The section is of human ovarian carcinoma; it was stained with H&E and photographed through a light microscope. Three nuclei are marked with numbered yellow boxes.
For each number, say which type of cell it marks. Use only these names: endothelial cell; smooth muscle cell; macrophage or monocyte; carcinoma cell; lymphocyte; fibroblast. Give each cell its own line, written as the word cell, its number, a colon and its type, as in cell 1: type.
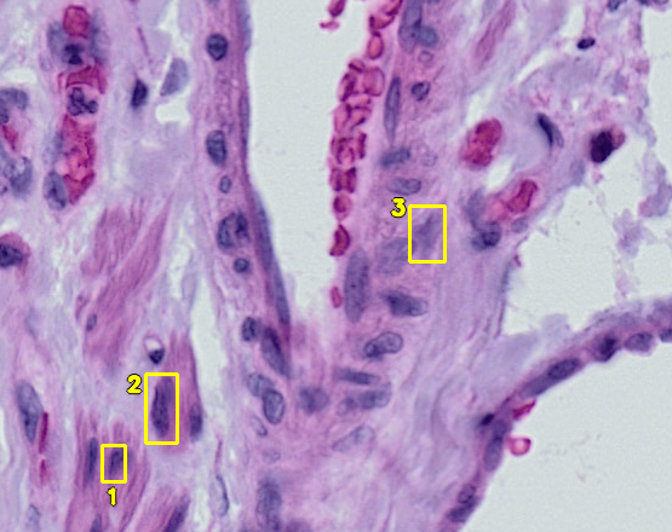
cell 1: smooth muscle cell
cell 2: smooth muscle cell
cell 3: fibroblast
